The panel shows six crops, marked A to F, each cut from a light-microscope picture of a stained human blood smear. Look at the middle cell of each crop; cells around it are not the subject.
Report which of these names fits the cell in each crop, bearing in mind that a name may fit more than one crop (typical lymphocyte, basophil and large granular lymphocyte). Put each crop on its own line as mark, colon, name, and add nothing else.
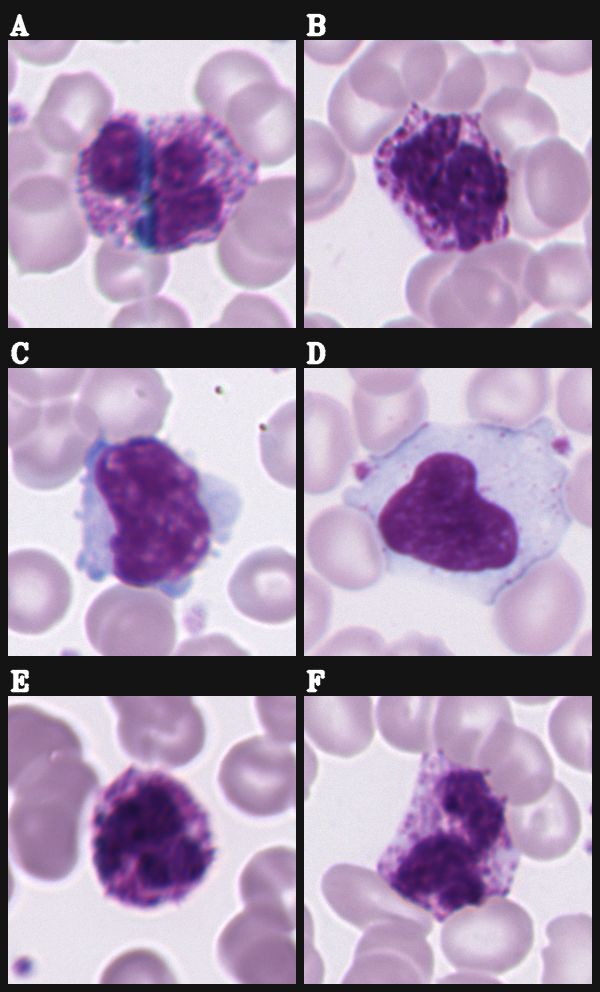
A: basophil
B: basophil
C: typical lymphocyte
D: large granular lymphocyte
E: basophil
F: basophil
